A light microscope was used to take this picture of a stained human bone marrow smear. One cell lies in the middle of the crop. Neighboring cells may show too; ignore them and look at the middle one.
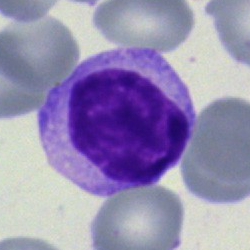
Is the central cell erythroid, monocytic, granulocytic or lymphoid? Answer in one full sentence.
Placed within the monocytic lineage is the cell in the middle.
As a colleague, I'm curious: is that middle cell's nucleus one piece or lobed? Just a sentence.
Round, oval or kidney-shaped, the nucleus is one compact mass.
